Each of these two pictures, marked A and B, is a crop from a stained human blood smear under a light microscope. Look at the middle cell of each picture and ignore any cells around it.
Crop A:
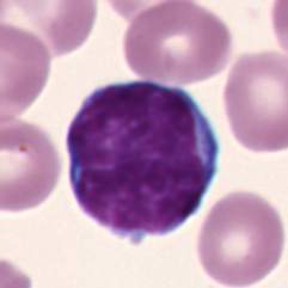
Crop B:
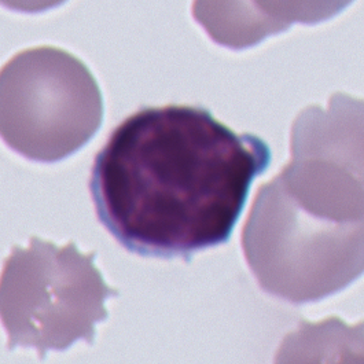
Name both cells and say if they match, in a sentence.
Yes, both crops feature typical lymphocytes at the centre.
